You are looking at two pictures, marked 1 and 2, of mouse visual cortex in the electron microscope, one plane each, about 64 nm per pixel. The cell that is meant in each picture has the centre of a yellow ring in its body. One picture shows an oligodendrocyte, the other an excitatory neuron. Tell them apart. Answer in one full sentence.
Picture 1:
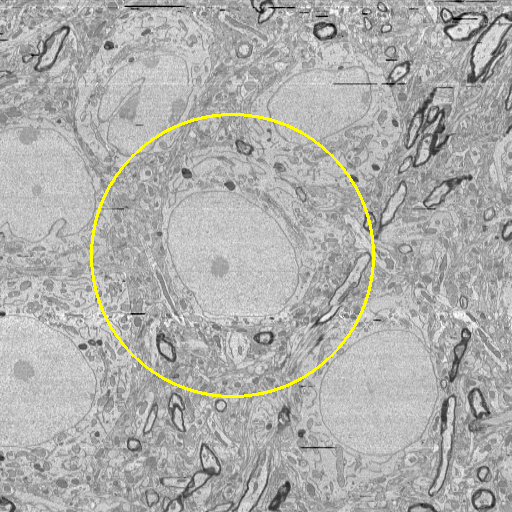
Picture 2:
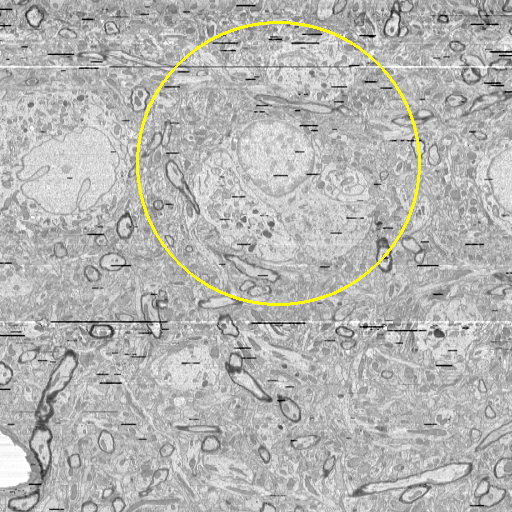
Picture 1 shows an excitatory neuron and picture 2 shows an oligodendrocyte.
